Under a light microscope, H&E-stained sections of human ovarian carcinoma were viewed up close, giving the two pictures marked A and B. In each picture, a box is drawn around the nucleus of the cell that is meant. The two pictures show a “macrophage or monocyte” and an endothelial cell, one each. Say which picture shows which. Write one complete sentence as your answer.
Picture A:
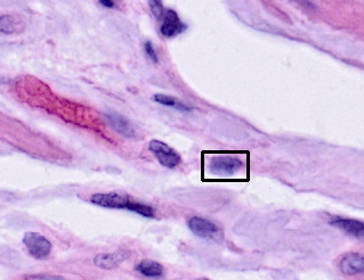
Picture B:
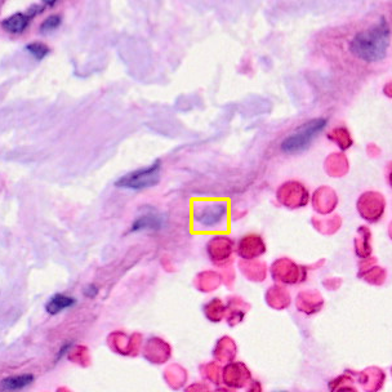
Picture A shows a “macrophage or monocyte” and picture B shows an endothelial cell.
